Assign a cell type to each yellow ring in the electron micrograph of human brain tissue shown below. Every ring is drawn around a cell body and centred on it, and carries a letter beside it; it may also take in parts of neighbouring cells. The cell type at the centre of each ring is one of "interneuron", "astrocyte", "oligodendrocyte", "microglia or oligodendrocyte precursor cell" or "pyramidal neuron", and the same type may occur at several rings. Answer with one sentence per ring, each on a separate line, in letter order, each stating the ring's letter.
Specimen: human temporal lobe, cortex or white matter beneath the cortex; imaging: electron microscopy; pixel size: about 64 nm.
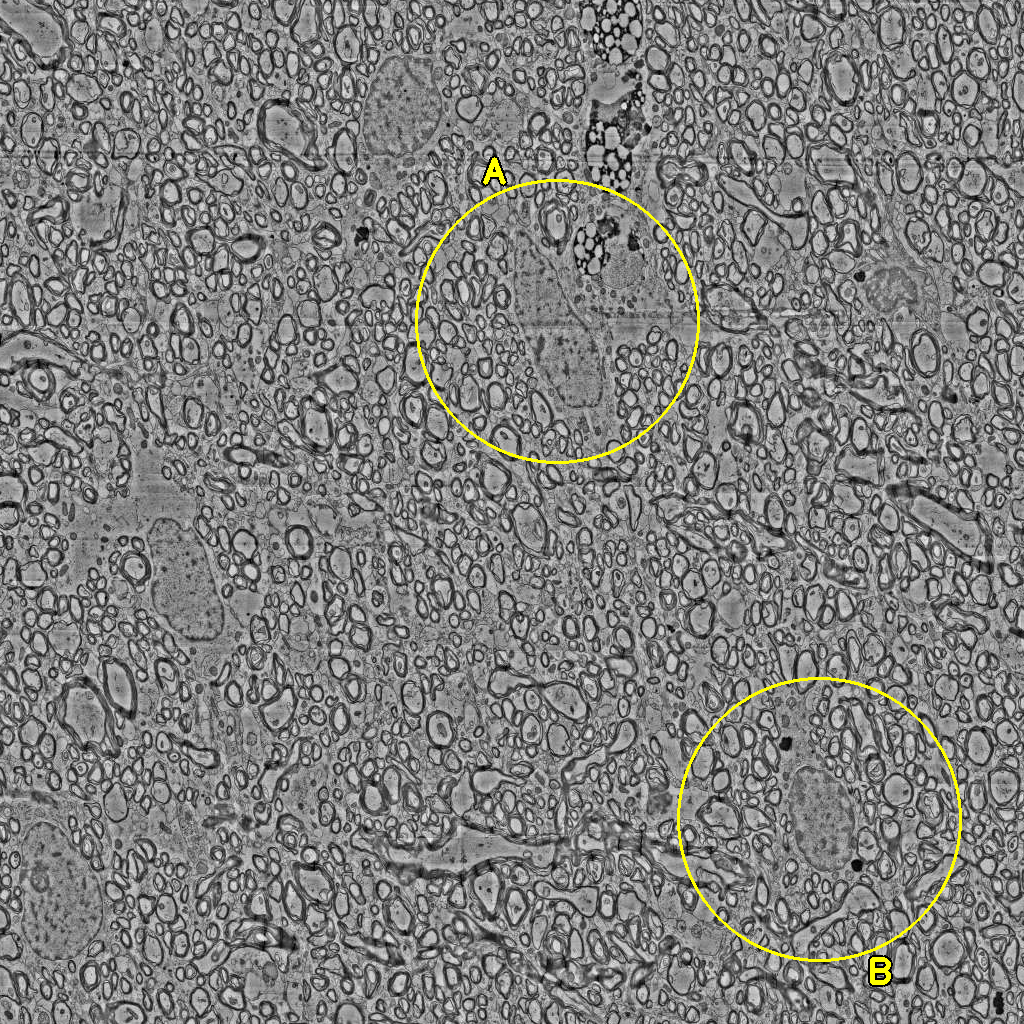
The cell at ring A's centre is an astrocyte.
The cell at ring B's centre is an oligodendrocyte.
